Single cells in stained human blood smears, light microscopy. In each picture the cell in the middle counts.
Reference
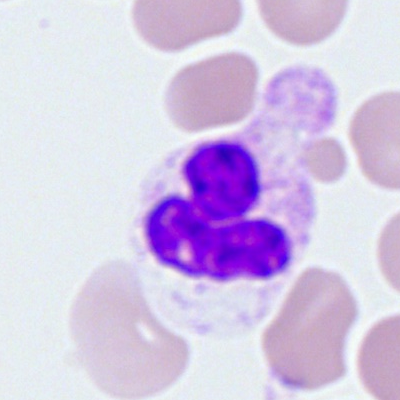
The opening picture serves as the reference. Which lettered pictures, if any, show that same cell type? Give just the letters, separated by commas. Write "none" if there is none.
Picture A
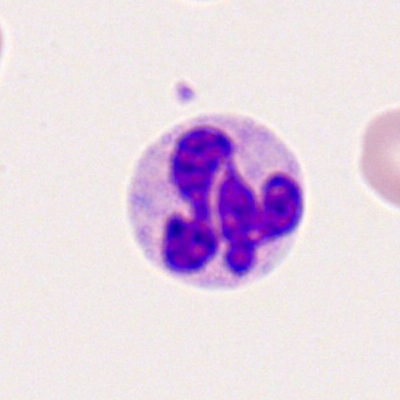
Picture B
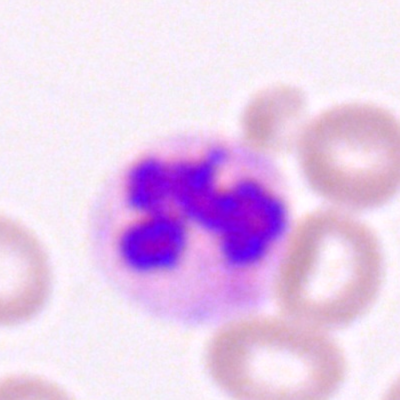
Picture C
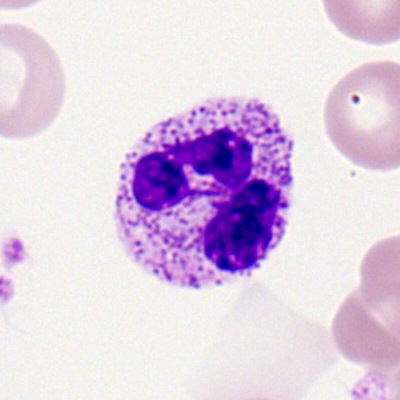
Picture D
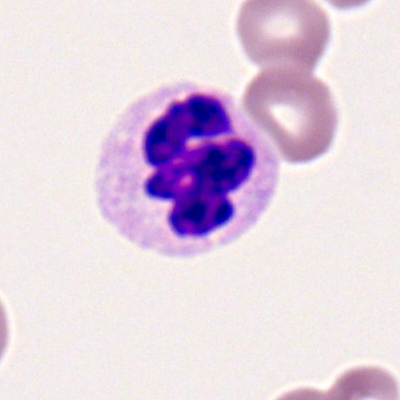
A, B, C, D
